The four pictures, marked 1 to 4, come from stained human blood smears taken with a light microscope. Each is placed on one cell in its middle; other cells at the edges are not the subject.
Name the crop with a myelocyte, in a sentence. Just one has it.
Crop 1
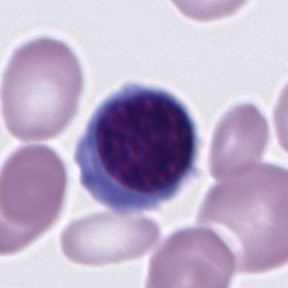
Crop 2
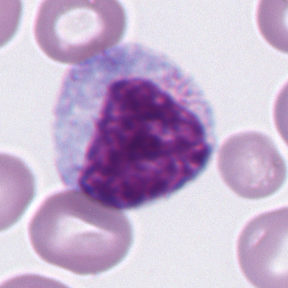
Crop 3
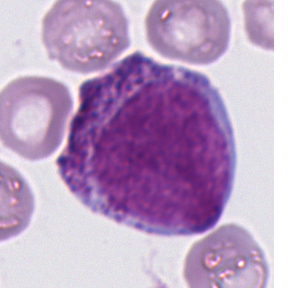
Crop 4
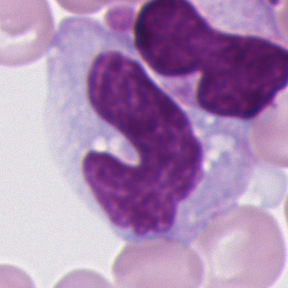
Crop 2 is the crop that shows a myelocyte in its middle.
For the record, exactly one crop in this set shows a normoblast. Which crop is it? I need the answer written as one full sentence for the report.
The crop showing a normoblast in this series is crop 1.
